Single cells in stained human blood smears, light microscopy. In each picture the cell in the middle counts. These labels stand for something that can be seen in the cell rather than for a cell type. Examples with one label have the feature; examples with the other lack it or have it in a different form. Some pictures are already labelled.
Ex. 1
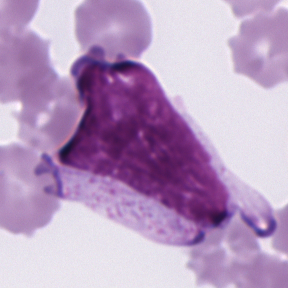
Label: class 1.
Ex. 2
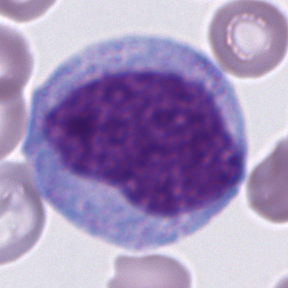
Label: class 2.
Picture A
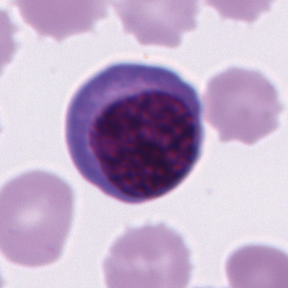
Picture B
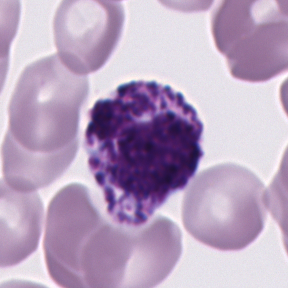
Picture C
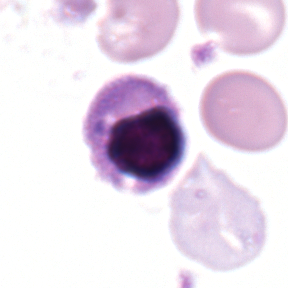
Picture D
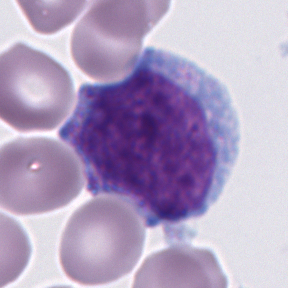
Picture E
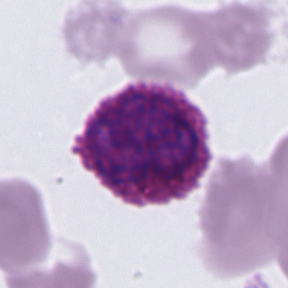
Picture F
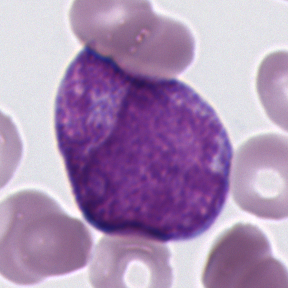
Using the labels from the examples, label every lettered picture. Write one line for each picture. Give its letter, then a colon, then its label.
A: class 2.
B: class 2.
C: class 1.
D: class 1.
E: class 1.
F: class 2.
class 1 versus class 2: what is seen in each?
In class 1: ragged outline or projections. In class 2: smooth outline.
